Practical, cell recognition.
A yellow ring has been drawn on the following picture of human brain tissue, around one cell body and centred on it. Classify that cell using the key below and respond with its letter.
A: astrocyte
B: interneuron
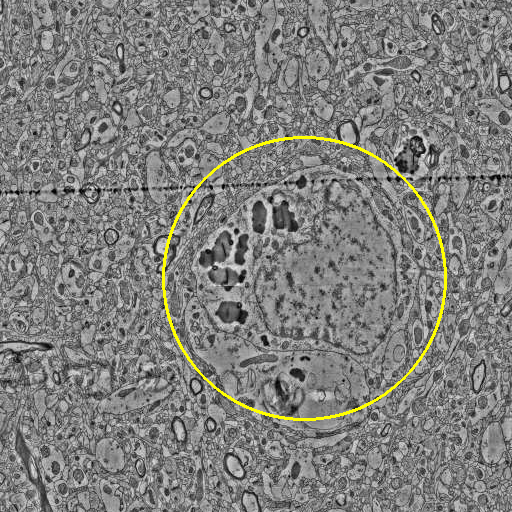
B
